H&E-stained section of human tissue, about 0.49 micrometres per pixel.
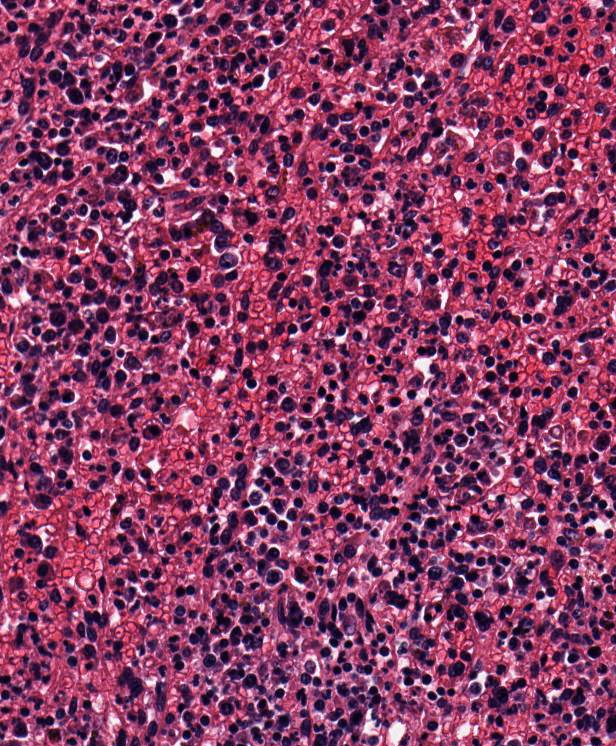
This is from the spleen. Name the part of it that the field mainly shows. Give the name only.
red pulp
